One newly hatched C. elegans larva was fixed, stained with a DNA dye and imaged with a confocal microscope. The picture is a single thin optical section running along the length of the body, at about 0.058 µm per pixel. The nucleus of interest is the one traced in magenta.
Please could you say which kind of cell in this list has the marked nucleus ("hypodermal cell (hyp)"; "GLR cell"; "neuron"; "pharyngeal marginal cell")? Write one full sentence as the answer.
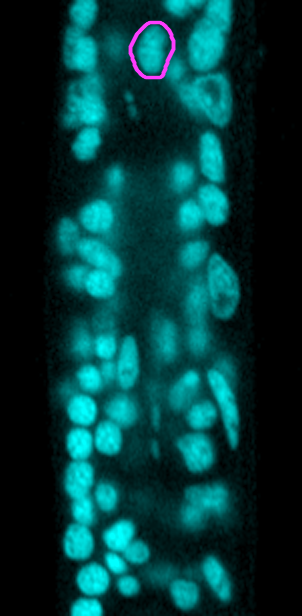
What is marked is the nucleus of a neuron.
